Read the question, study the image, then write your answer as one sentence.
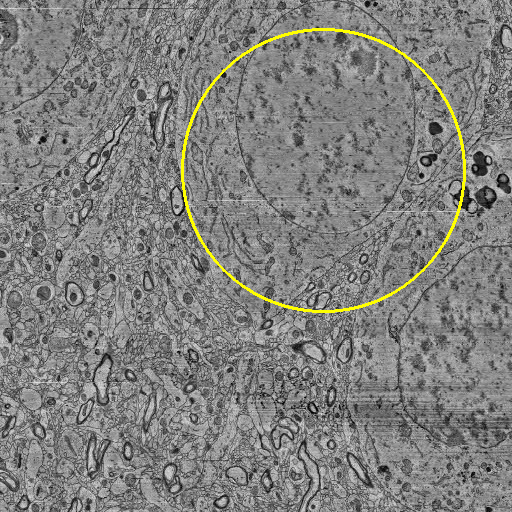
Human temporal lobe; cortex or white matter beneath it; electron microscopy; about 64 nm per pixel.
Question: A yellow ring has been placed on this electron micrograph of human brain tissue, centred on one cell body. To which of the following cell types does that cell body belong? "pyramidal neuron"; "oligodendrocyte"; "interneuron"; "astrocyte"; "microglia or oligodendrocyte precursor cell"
That cell body belongs to a pyramidal neuron.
